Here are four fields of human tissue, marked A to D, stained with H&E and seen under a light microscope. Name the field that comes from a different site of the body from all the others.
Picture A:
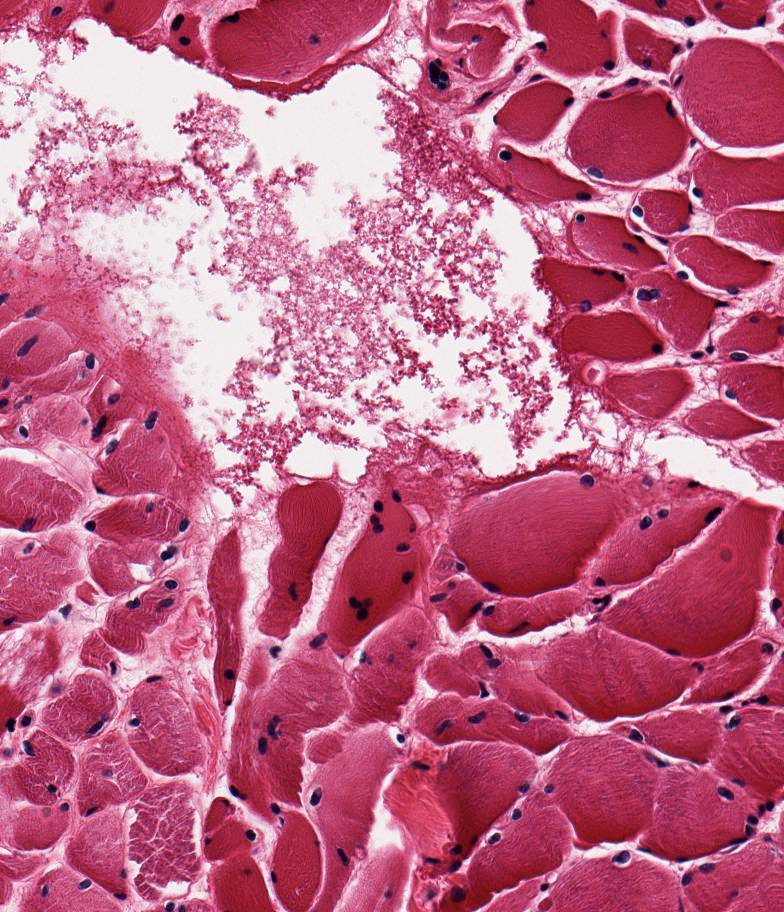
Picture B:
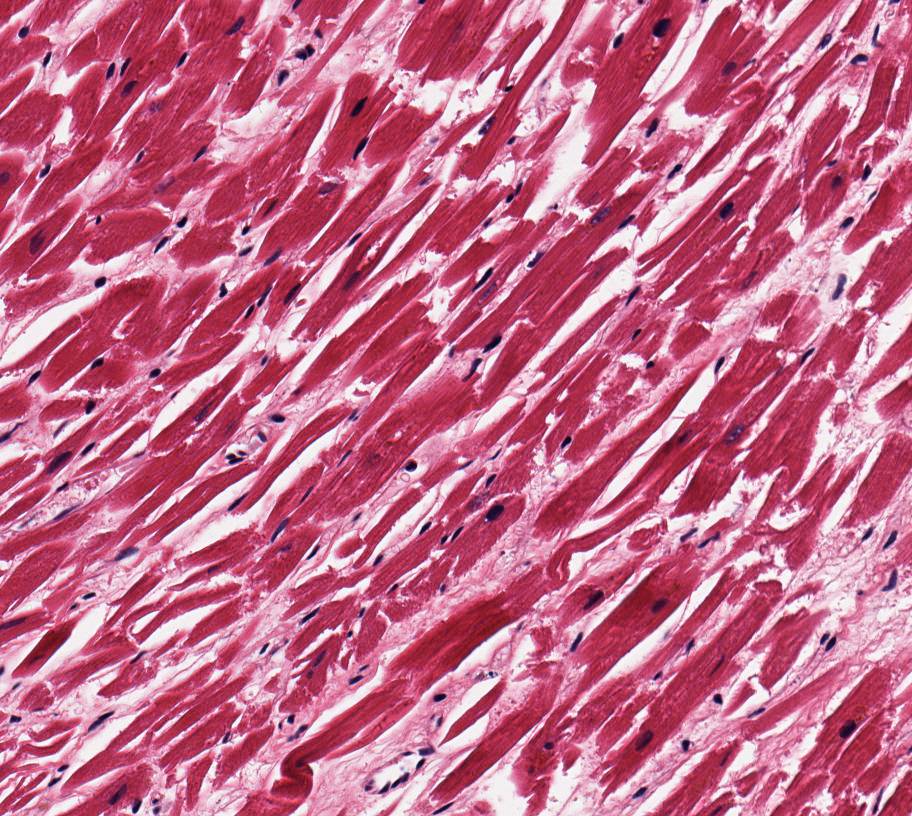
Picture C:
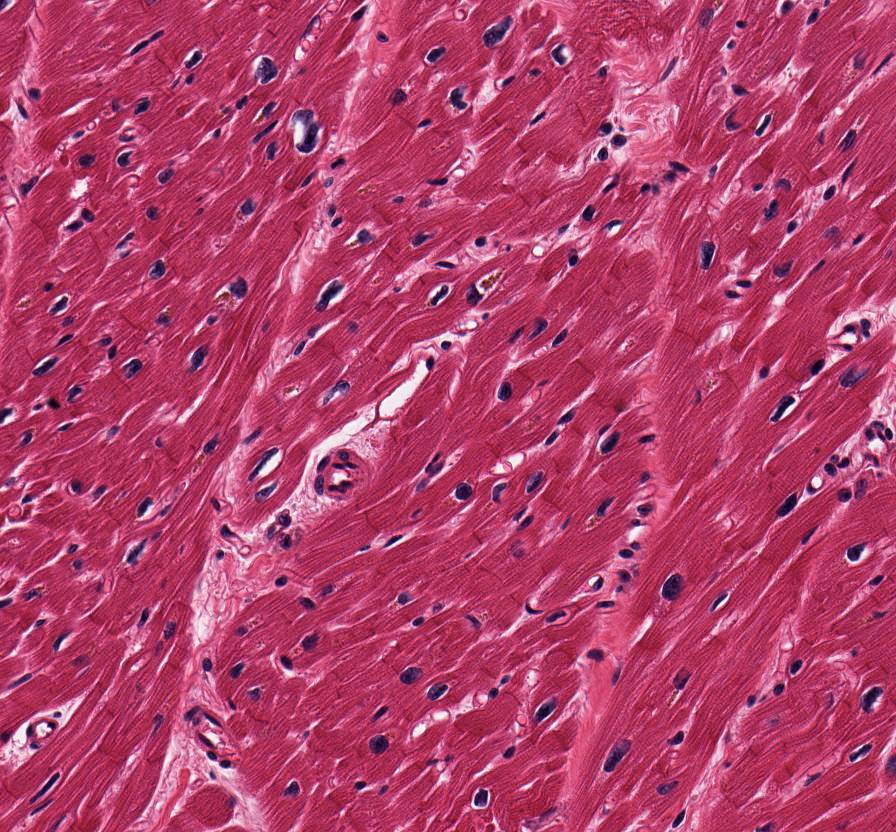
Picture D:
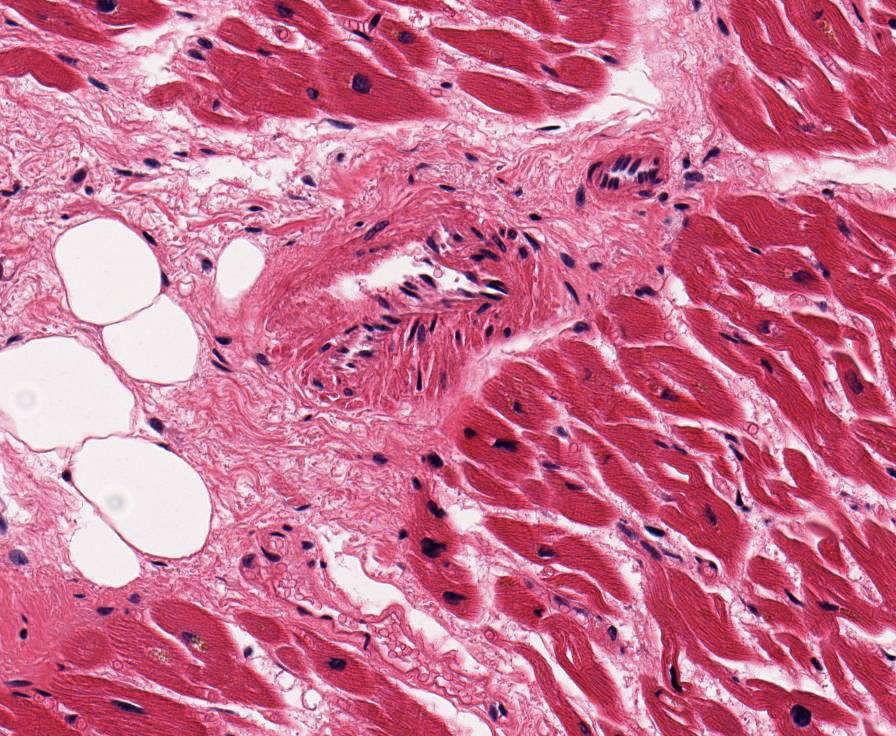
A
